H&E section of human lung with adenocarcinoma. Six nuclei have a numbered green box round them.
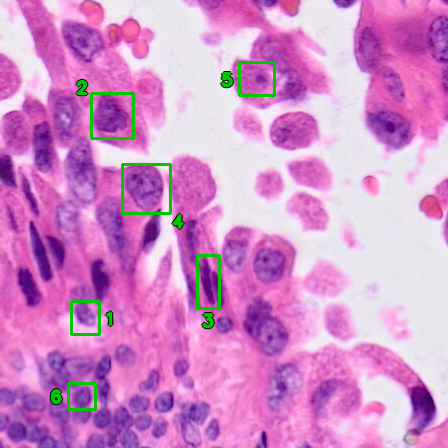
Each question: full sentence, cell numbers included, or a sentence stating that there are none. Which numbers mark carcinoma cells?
The cells that bear the numbers 2, 3, 4 and 5 are carcinoma cells.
